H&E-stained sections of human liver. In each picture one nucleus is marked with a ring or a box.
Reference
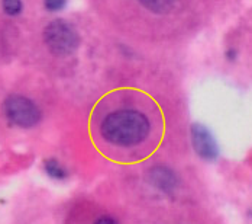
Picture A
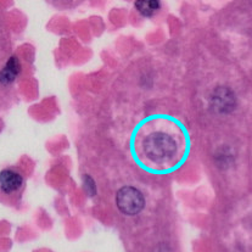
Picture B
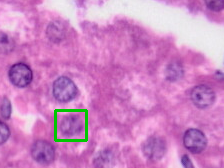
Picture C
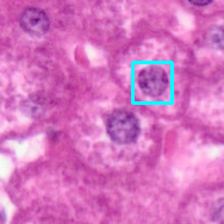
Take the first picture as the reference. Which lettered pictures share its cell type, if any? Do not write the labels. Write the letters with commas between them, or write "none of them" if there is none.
A, B, C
